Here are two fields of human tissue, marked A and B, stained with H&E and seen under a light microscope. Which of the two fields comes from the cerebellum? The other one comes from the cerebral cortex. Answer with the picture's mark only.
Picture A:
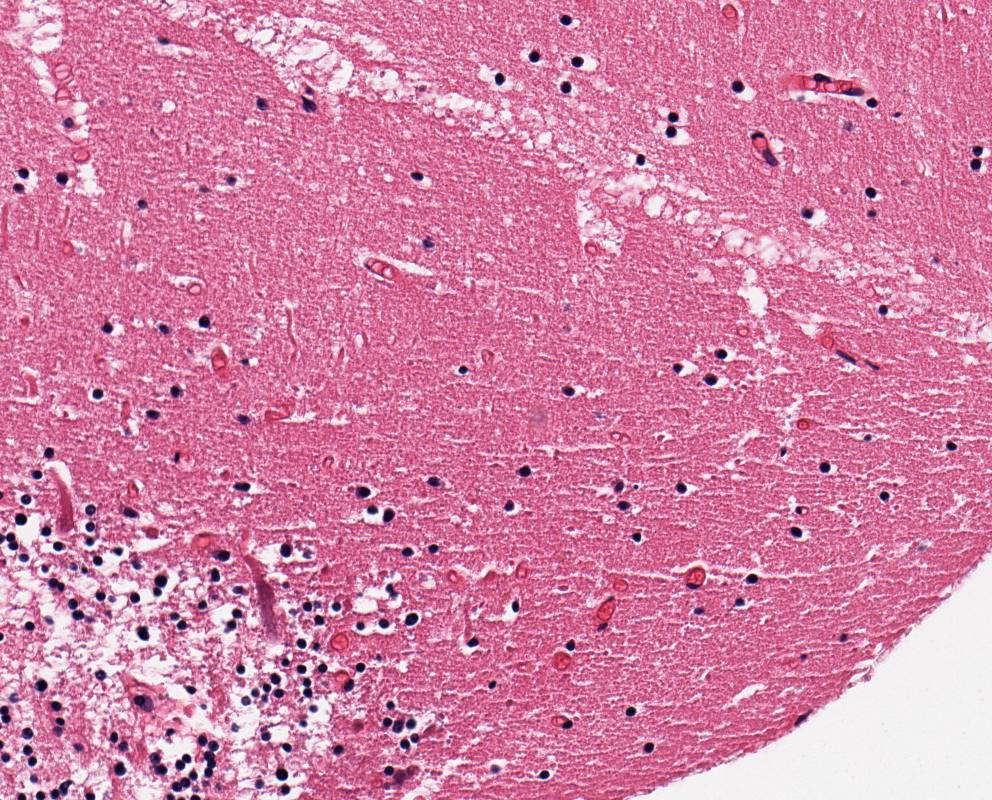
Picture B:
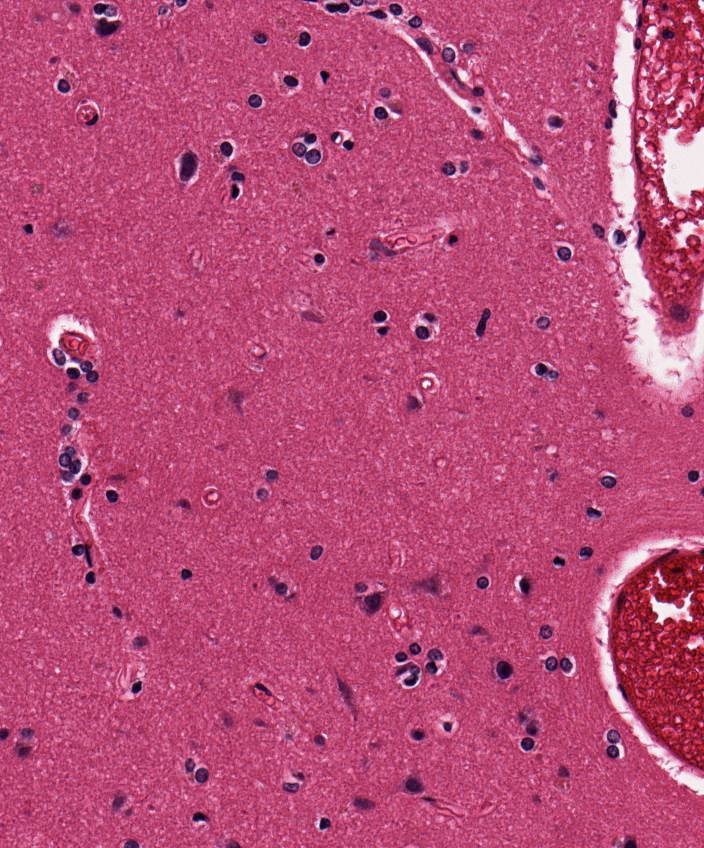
A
